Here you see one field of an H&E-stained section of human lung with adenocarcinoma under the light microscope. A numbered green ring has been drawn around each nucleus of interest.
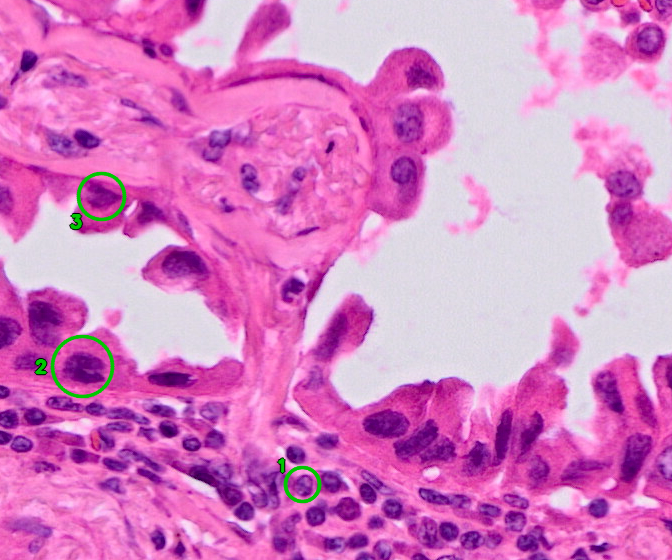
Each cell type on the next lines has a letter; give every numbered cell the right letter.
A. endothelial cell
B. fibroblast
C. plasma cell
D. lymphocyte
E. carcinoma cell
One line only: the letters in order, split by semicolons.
D; E; E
